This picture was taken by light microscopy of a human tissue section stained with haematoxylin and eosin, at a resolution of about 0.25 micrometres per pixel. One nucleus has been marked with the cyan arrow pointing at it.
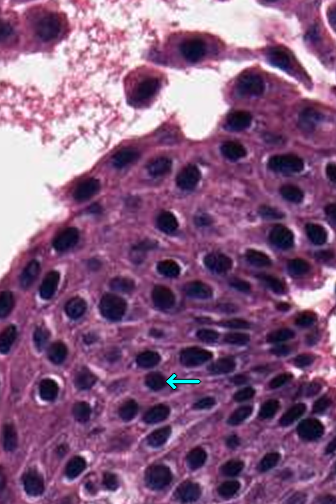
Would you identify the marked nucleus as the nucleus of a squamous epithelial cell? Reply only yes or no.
yes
